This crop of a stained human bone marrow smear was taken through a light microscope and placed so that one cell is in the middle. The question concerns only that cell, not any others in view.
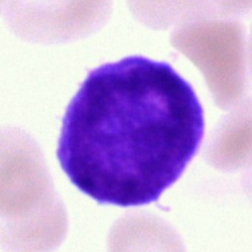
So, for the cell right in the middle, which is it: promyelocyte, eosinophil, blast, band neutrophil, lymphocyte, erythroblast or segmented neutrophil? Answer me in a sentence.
In the centre of this crop there is a blast.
